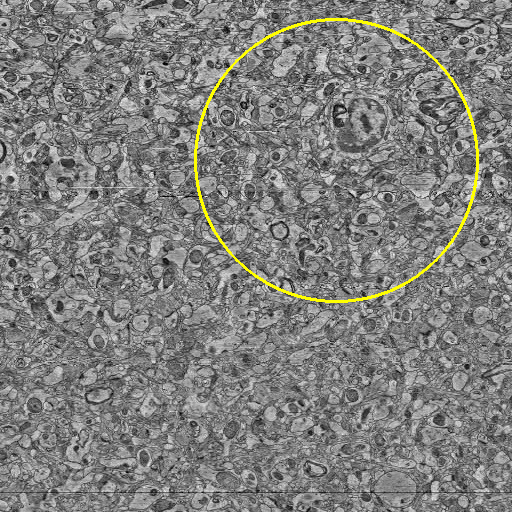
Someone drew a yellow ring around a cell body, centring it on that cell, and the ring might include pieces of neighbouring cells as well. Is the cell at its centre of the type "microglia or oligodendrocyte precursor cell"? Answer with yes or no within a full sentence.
Yes, within the picture, the cell the ring is centred on qualifies as that type.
